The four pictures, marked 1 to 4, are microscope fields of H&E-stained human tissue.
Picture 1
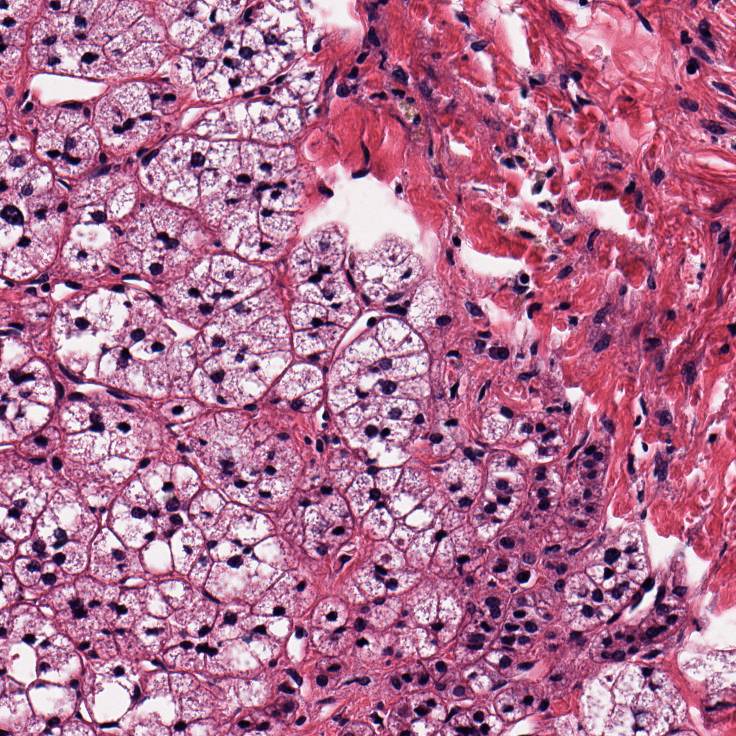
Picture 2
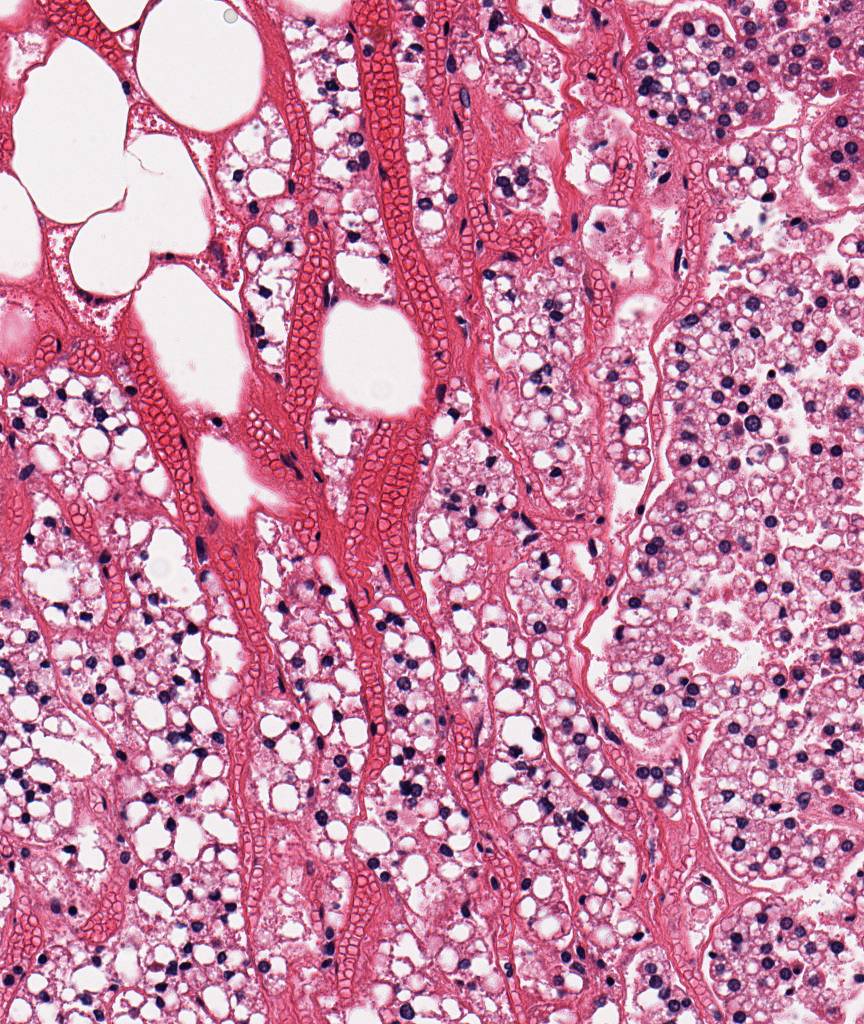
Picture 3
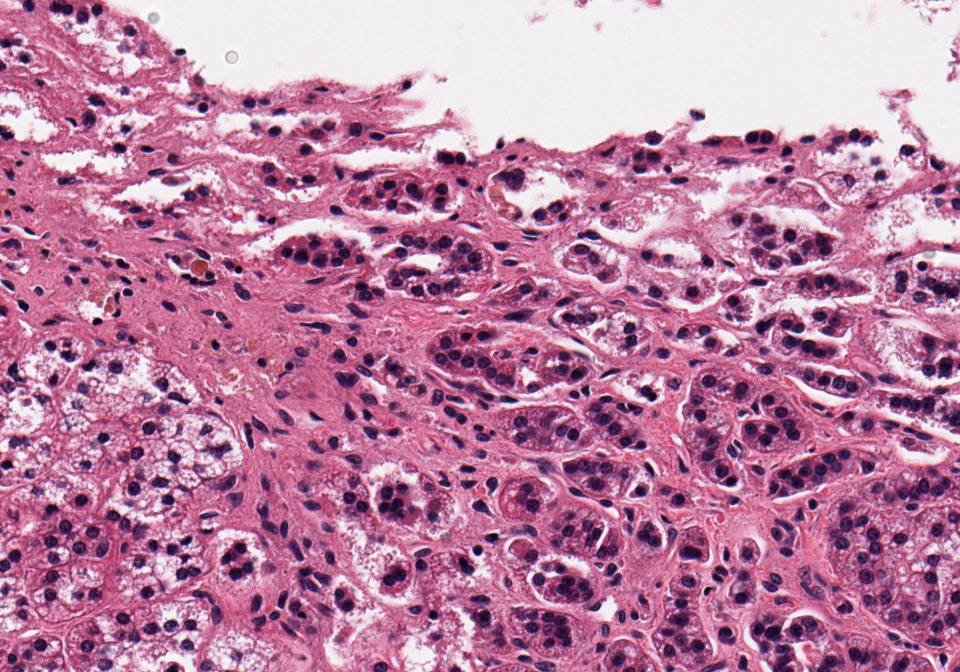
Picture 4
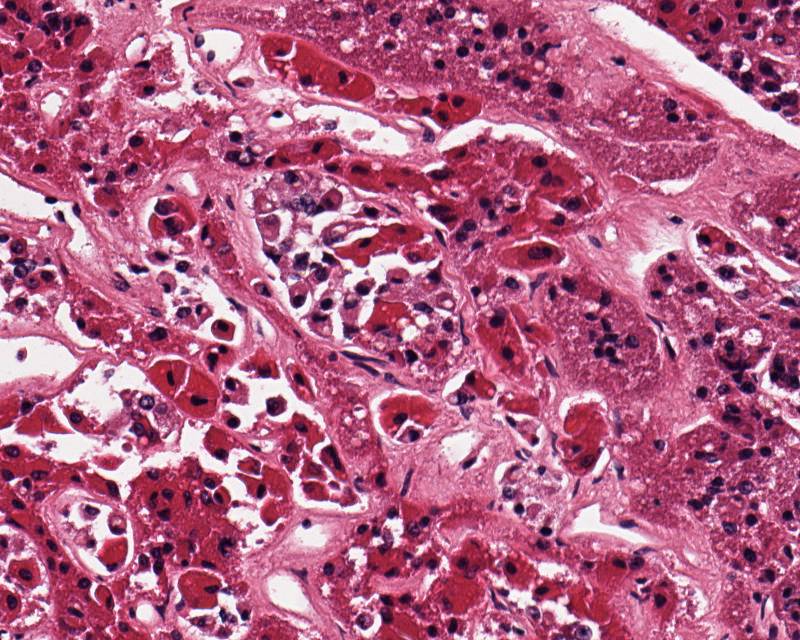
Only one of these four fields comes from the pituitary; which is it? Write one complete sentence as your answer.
It is picture 4 that comes from the pituitary.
